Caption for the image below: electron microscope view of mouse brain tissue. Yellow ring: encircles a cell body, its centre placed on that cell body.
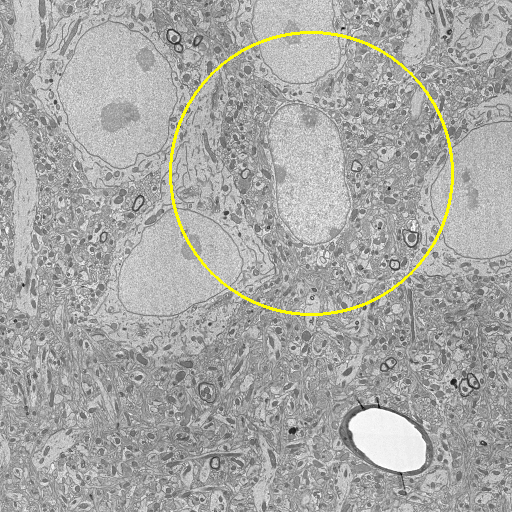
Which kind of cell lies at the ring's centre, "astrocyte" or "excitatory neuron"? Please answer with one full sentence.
The picture shows an astrocyte at the centre of the yellow ring.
